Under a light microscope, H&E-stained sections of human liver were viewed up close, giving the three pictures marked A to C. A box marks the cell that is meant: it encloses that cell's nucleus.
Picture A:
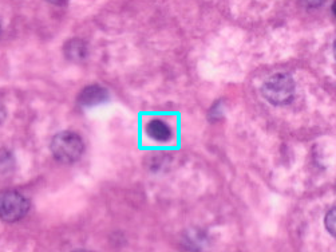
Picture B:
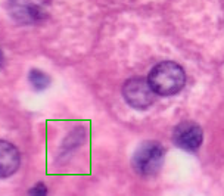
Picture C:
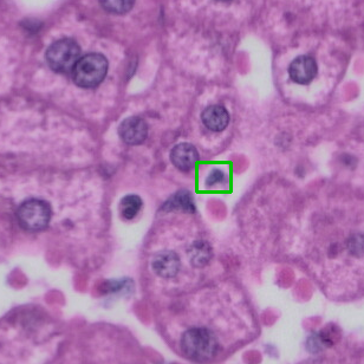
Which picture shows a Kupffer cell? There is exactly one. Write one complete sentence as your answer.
It is picture B that shows the Kupffer cell.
